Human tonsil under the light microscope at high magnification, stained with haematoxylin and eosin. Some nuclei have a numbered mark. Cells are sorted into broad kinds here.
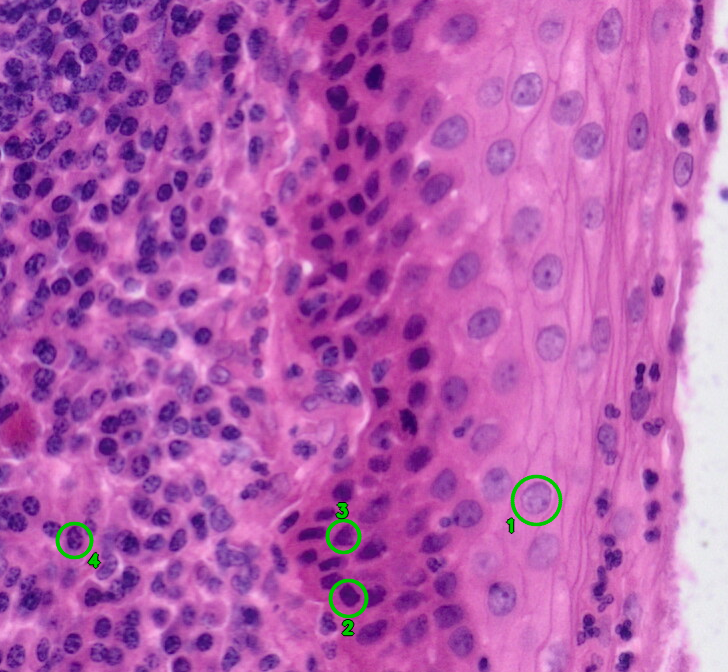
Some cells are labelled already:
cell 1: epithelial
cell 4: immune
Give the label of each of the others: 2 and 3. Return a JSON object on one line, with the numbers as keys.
{"2": "epithelial", "3": "epithelial"}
